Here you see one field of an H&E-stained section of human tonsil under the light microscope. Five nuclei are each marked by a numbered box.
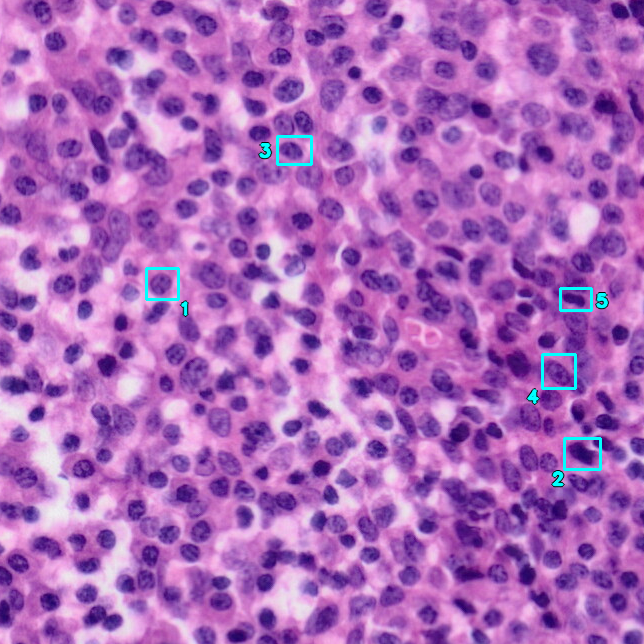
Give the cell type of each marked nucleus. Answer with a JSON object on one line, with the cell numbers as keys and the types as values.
{"1": "plasma cell", "2": "plasma cell", "3": "plasma cell", "4": "squamous epithelial cell", "5": "squamous epithelial cell"}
